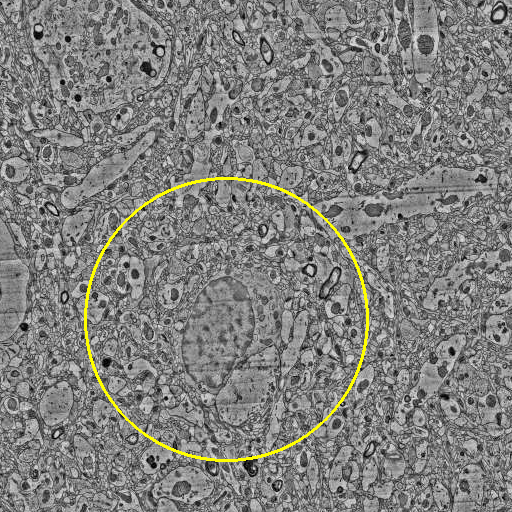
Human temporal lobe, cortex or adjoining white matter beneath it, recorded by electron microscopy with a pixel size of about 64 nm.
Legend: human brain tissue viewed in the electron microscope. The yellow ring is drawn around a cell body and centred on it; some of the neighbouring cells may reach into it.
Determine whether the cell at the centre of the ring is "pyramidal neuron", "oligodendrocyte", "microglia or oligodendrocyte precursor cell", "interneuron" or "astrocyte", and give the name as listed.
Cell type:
oligodendrocyte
